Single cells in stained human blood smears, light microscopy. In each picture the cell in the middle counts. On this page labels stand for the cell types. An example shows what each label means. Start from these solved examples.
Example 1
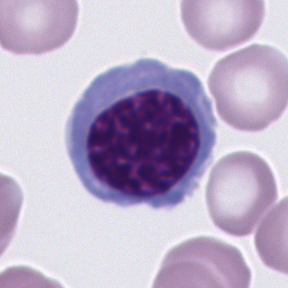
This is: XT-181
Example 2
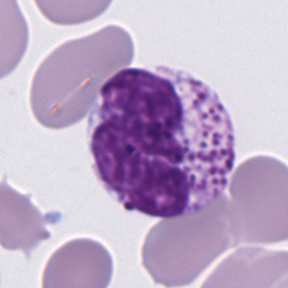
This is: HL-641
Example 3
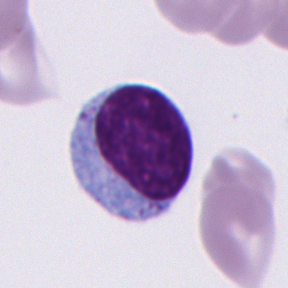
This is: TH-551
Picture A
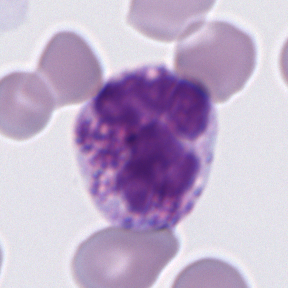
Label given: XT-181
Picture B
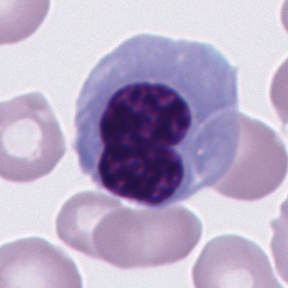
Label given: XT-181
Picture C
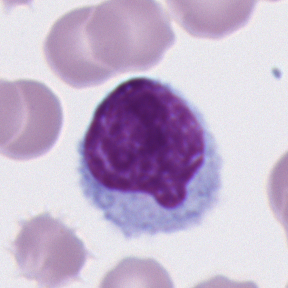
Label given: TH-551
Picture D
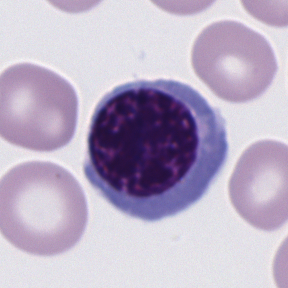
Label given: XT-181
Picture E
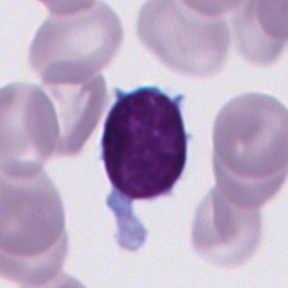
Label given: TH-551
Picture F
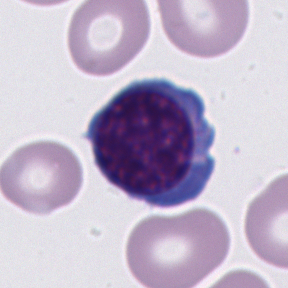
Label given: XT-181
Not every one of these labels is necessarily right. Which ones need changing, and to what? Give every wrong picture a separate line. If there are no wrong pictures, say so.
A is labelled XT-181; correct label: HL-641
